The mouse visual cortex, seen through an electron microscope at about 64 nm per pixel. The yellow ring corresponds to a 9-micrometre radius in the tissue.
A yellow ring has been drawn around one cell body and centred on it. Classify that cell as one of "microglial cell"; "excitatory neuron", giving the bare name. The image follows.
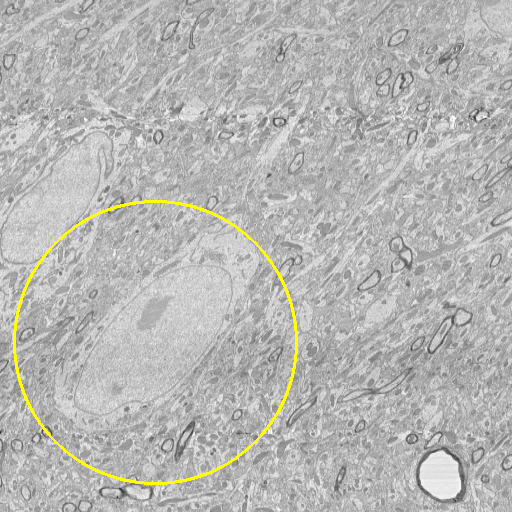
excitatory neuron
